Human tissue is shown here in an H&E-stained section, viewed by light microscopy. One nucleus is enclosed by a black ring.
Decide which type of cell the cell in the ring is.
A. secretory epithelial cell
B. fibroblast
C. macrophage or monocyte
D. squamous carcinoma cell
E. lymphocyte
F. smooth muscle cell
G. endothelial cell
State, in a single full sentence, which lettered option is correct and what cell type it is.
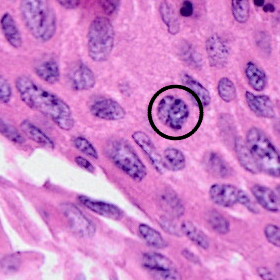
Option D properly identifies the cell in the ring as a squamous carcinoma cell.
